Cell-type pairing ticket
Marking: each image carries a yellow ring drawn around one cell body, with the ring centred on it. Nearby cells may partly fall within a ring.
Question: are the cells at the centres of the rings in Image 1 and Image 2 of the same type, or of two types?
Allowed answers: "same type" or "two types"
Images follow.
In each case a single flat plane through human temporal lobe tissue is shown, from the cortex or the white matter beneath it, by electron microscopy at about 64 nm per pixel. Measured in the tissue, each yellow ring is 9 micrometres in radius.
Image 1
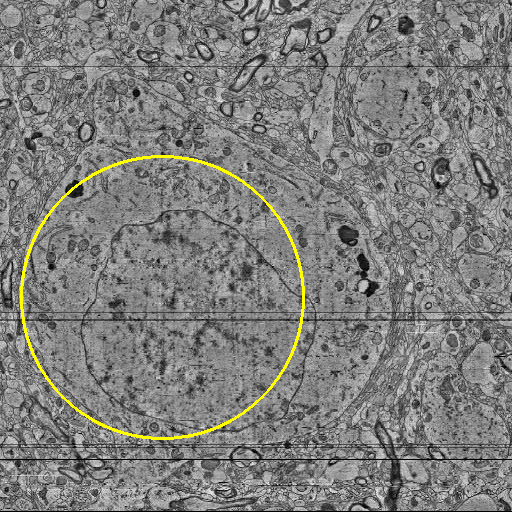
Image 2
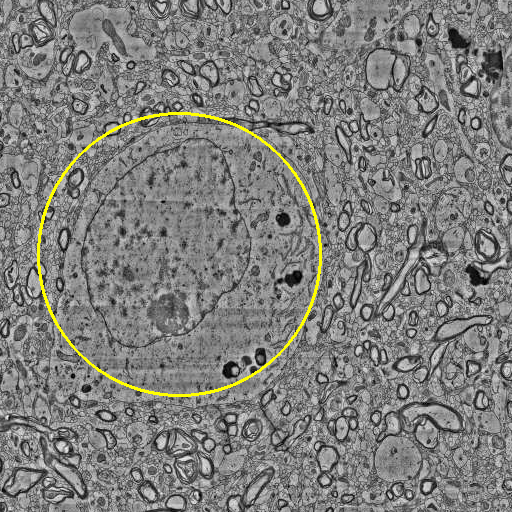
same type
